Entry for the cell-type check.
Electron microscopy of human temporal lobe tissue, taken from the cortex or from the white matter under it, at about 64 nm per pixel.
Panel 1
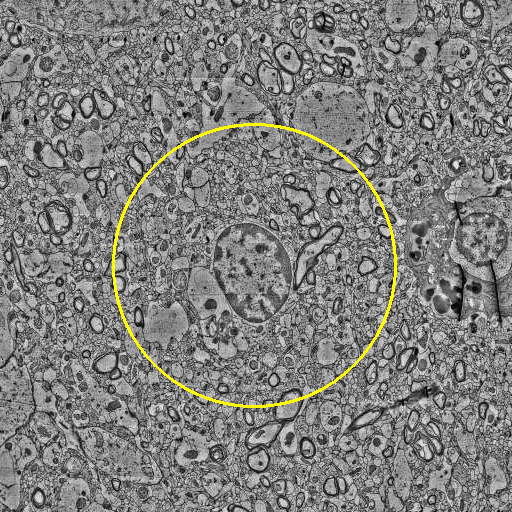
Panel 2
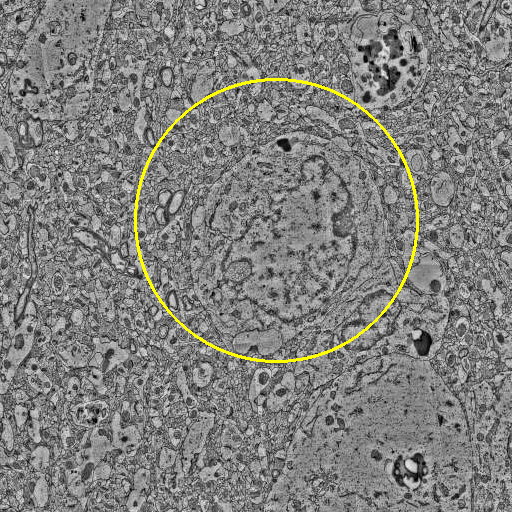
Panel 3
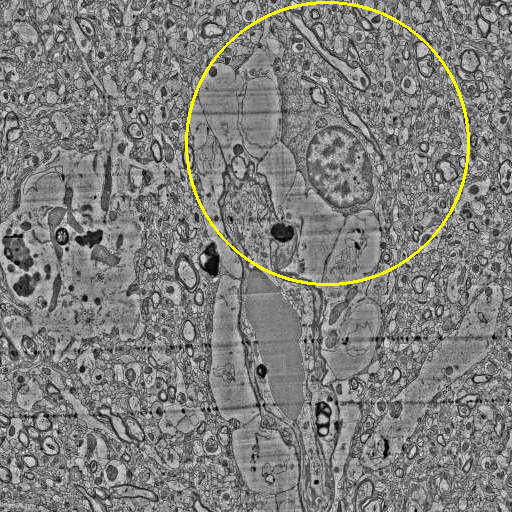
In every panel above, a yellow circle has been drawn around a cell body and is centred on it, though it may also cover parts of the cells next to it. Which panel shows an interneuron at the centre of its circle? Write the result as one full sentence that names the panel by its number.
Panel 2 shows it at the centre of its circle.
